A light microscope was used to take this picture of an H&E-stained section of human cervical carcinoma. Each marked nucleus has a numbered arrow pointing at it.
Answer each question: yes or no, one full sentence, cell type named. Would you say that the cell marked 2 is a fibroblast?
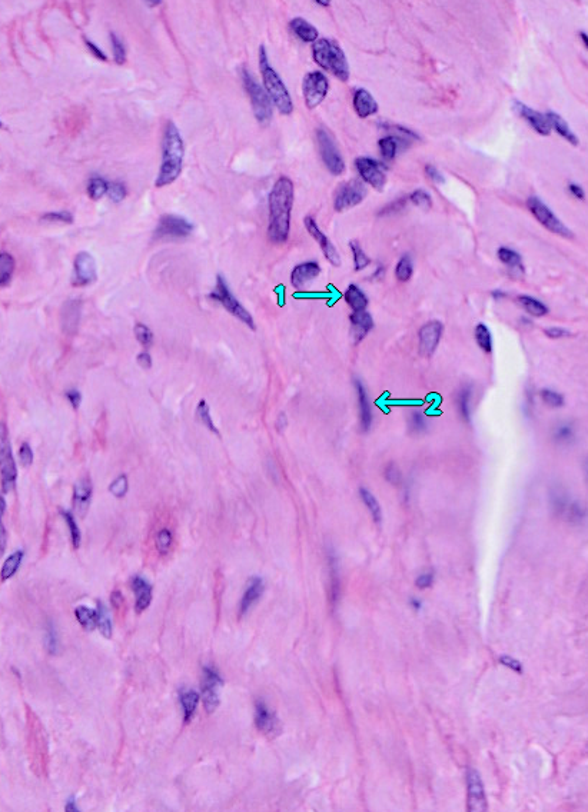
Yes, what number 2 marks is a fibroblast.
